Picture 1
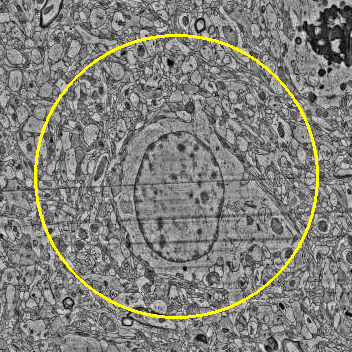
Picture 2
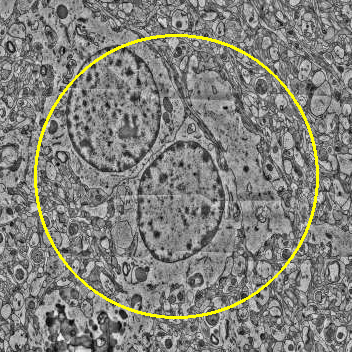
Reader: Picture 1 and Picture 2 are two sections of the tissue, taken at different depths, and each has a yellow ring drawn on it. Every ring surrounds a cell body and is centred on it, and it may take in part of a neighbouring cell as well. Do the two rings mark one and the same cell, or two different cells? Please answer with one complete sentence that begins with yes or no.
No, the ringed cells are two separate cells.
